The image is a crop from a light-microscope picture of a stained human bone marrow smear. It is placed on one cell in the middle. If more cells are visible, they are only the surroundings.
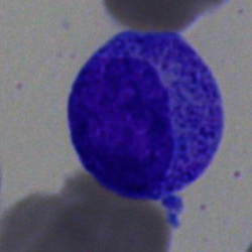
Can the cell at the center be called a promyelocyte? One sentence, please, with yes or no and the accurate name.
Yes, the middle of the crop is occupied by a promyelocyte.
